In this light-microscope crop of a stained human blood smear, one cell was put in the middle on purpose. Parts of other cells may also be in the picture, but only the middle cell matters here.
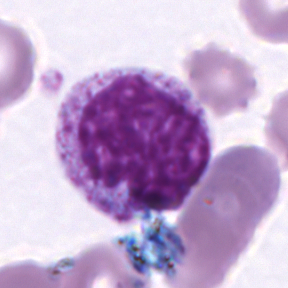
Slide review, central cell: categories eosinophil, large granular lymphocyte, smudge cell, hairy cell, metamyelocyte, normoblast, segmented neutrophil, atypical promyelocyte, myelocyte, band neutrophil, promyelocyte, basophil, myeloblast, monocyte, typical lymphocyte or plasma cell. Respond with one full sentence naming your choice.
The cell centred in this crop is categorized as a metamyelocyte.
